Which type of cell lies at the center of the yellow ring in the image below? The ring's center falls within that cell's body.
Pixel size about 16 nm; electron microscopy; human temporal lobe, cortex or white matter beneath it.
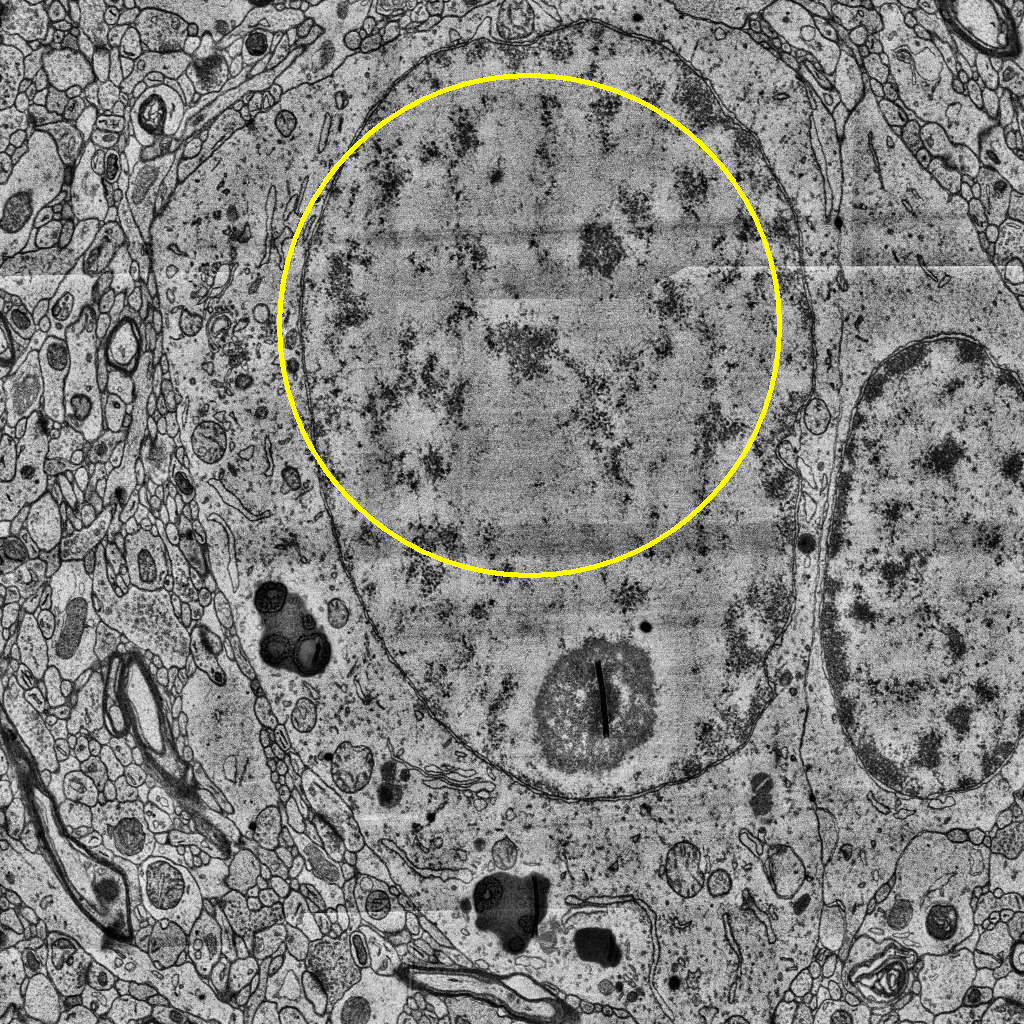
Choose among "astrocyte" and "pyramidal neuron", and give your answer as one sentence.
The cell body at the center belongs to a pyramidal neuron.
